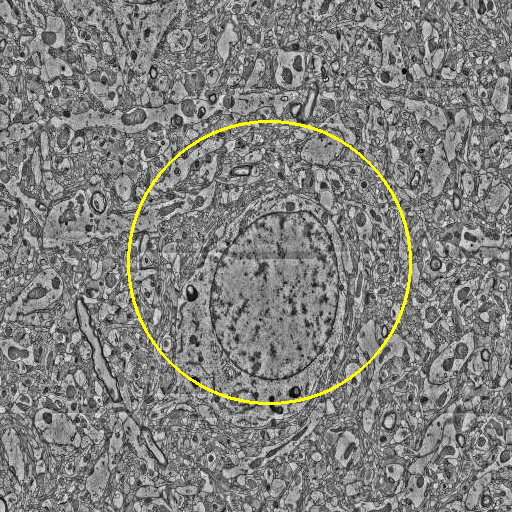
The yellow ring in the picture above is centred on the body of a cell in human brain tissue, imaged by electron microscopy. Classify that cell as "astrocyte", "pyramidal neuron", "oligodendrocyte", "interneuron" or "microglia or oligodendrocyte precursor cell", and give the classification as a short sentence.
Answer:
The cell in the middle of the ring is a pyramidal neuron.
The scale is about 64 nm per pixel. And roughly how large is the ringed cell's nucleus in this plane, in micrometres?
Roughly 11 by 8 micrometres in this plane, for the nucleus of the ringed cell.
